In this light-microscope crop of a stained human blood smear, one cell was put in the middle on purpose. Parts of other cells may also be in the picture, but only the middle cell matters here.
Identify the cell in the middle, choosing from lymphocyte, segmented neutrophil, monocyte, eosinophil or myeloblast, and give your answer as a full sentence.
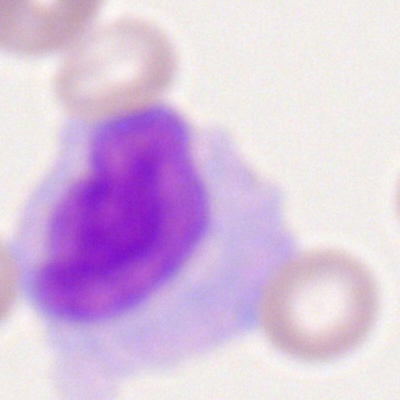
Classified as a monocyte is the cell in the middle of this crop.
